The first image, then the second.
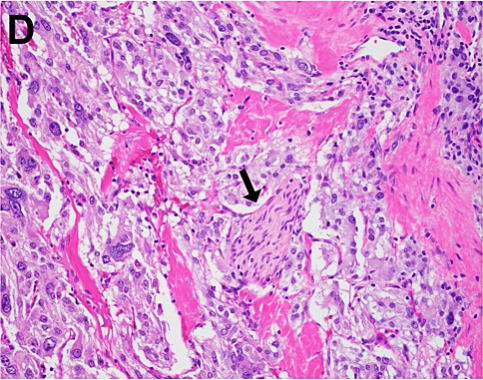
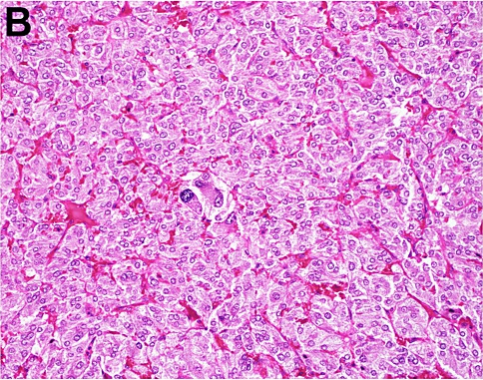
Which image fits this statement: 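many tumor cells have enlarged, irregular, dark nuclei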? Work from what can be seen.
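First image: numerous cells with large, irregular, hyperchromatic nuclei of varying size. Second image: uniform small round nuclei, with only a single enlarged dark nucleus.
Hence: the first image.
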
